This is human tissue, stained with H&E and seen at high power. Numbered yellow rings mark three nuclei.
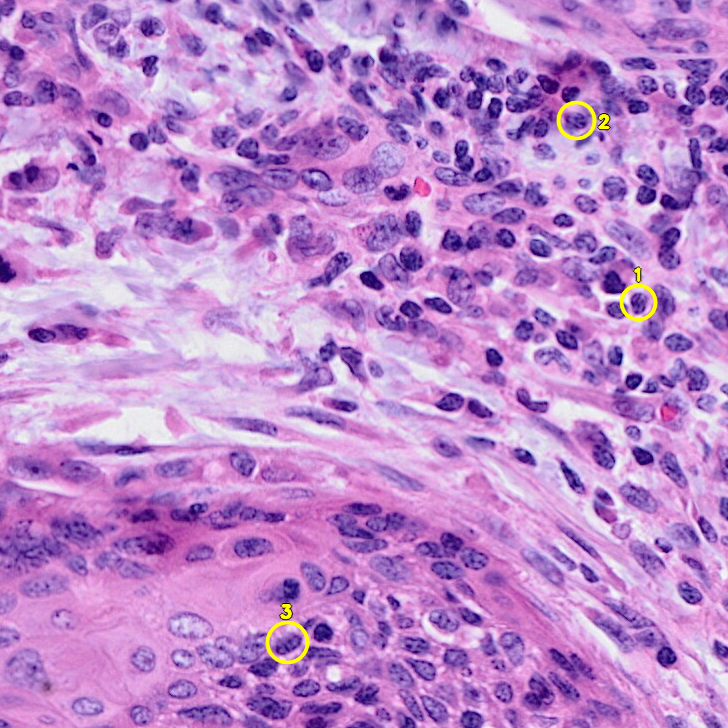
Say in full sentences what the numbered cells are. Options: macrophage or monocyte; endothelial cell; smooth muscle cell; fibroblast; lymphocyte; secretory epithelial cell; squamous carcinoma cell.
Cell 1 is a lymphocyte, cell 2 is a lymphocyte and cell 3 is a squamous carcinoma cell.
